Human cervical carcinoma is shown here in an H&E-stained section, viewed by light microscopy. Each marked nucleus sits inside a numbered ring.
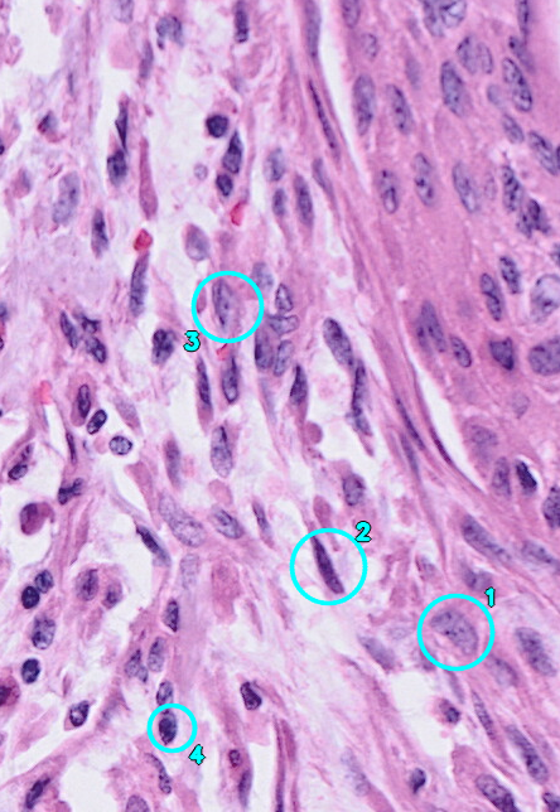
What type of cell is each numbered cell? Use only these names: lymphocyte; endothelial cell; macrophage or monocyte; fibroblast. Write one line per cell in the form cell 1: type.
cell 1: endothelial cell
cell 2: fibroblast
cell 3: endothelial cell
cell 4: lymphocyte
